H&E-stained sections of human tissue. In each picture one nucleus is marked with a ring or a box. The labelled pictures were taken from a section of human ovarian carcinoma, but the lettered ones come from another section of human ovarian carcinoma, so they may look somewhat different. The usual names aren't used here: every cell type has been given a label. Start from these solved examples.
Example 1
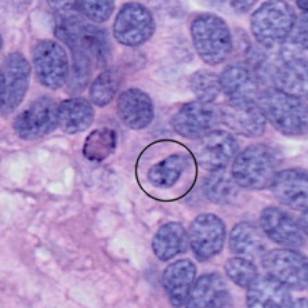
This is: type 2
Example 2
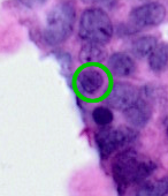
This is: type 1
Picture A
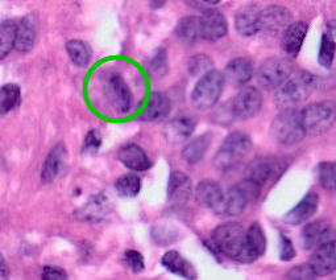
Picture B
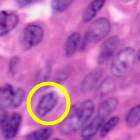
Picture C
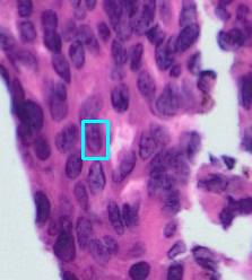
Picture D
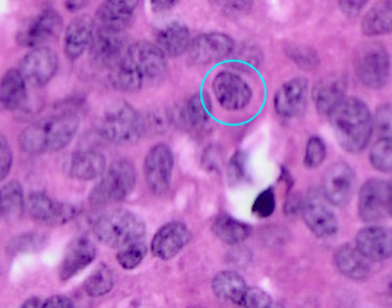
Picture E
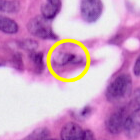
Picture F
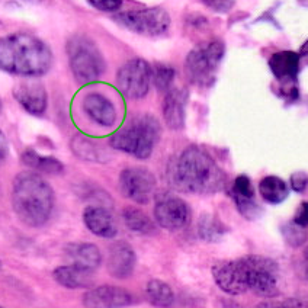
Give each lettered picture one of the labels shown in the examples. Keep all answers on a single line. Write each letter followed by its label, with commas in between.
A type 1, B type 2, C type 1, D type 2, E type 2, F type 2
